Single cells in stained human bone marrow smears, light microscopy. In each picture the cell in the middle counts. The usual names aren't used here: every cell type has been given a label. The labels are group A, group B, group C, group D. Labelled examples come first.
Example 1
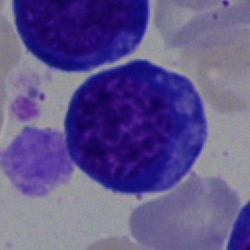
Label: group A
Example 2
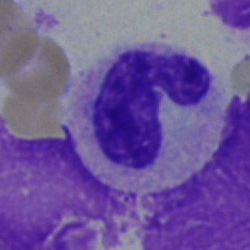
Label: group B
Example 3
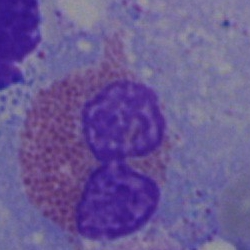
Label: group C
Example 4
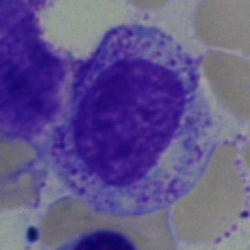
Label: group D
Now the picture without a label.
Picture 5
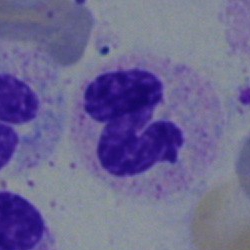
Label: group B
